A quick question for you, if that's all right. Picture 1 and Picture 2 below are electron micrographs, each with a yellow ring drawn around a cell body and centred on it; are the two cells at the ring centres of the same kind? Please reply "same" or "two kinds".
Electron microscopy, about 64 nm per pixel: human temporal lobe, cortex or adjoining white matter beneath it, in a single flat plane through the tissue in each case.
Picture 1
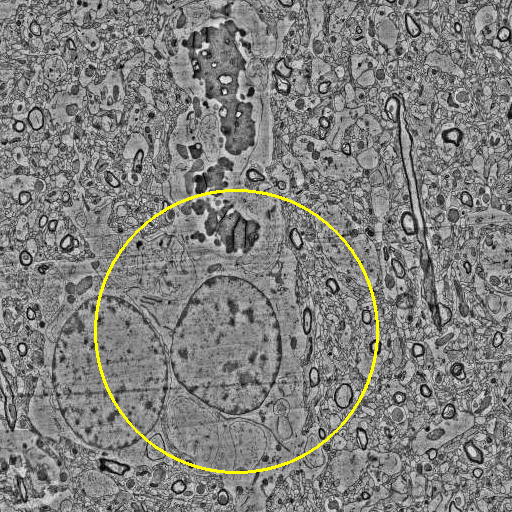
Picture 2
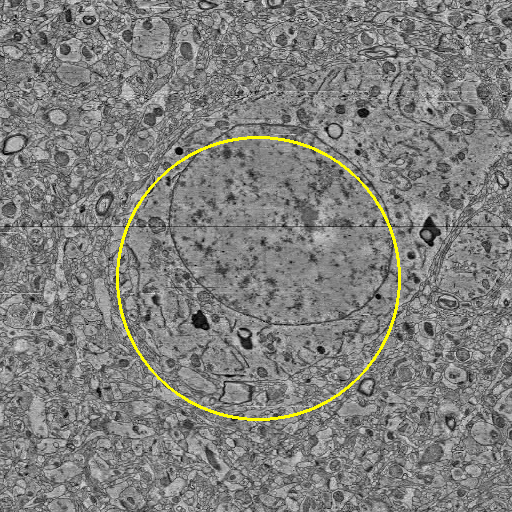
two kinds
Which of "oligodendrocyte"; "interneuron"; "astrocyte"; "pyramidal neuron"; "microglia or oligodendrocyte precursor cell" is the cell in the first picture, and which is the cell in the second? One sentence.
The two differ: the first cell is an astrocyte and the second is a pyramidal neuron.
